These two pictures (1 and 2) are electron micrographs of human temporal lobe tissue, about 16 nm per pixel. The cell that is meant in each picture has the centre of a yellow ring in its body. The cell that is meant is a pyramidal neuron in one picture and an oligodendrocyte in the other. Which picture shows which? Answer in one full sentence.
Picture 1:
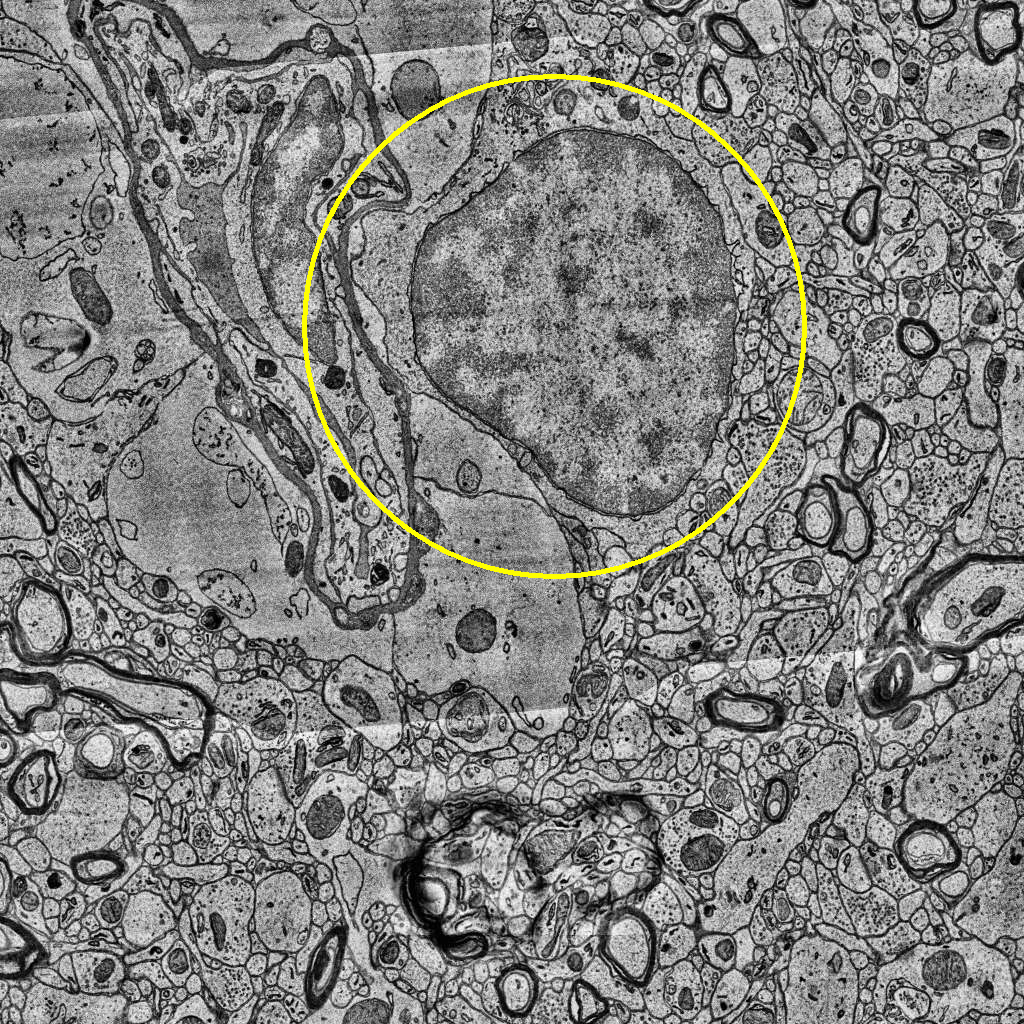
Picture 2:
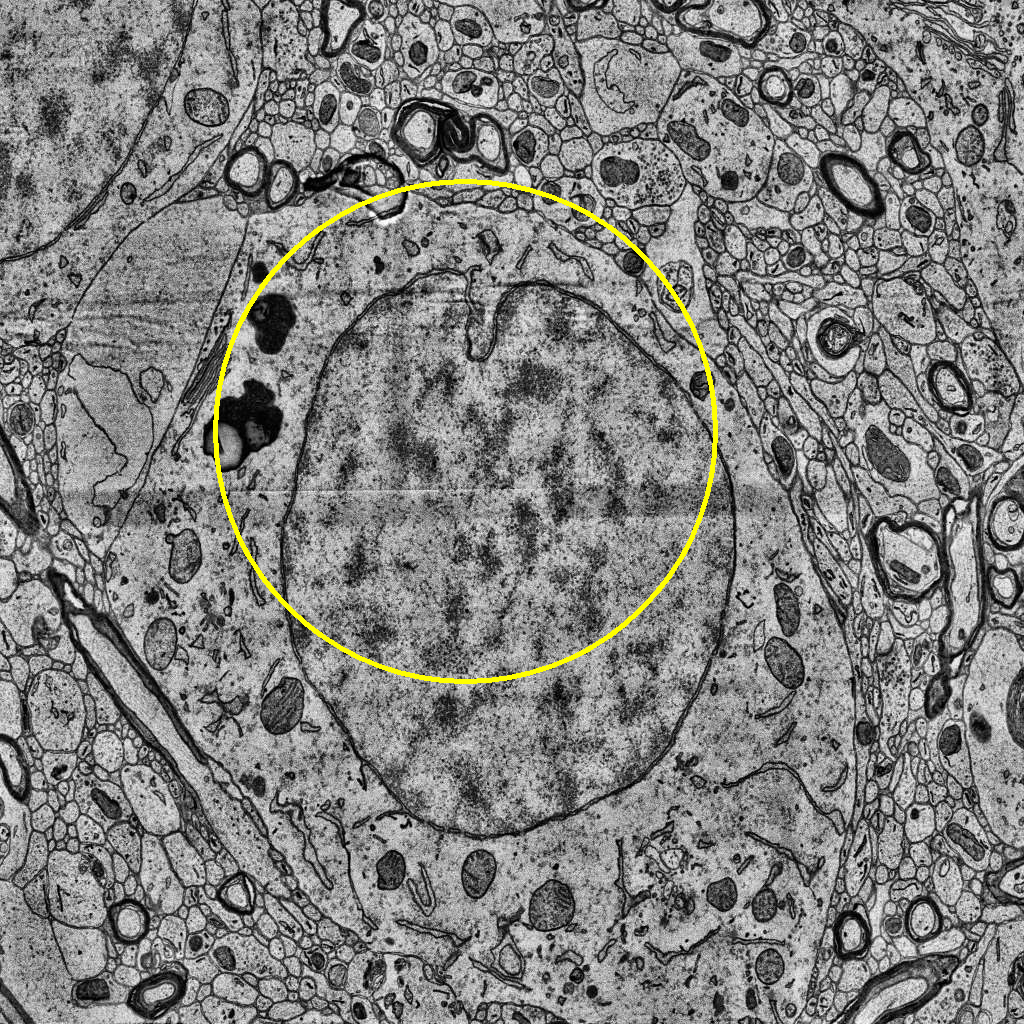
It is picture 1 that shows an oligodendrocyte, and picture 2 that shows a pyramidal neuron.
